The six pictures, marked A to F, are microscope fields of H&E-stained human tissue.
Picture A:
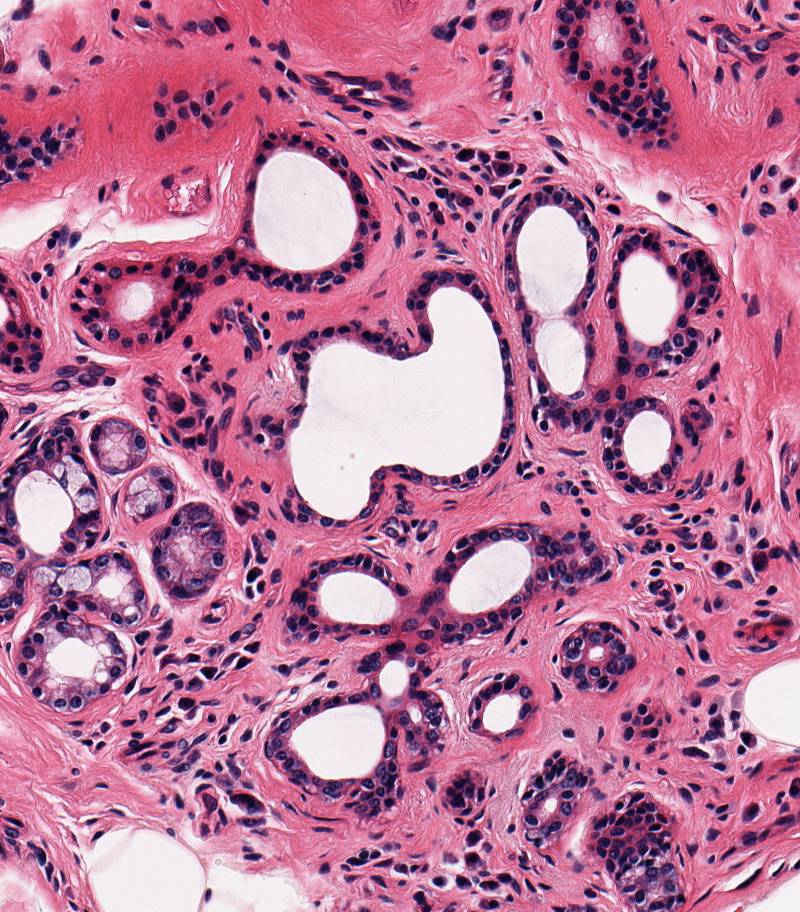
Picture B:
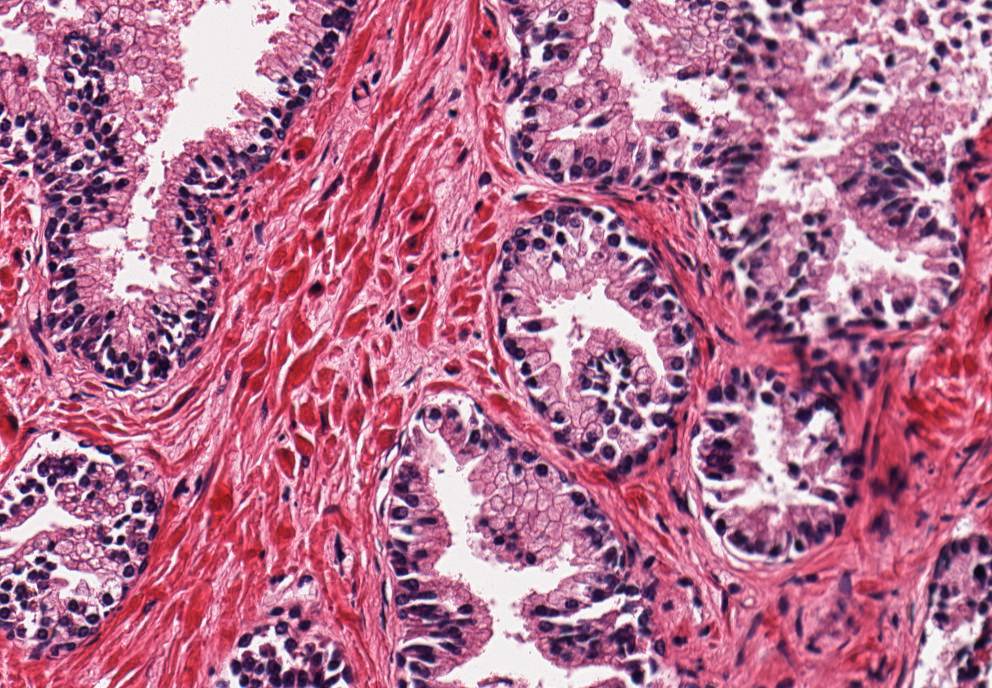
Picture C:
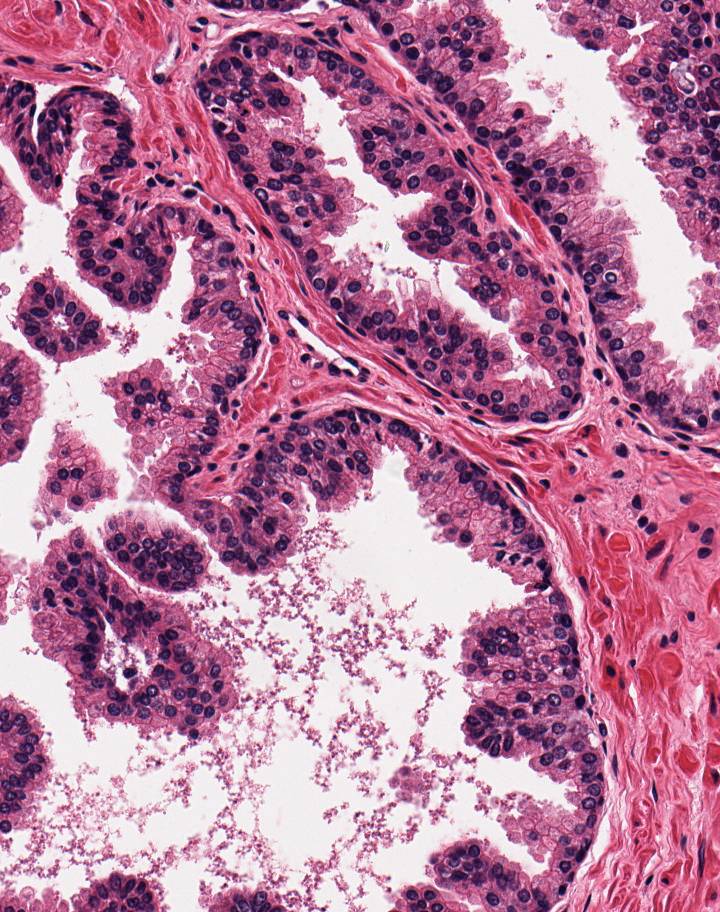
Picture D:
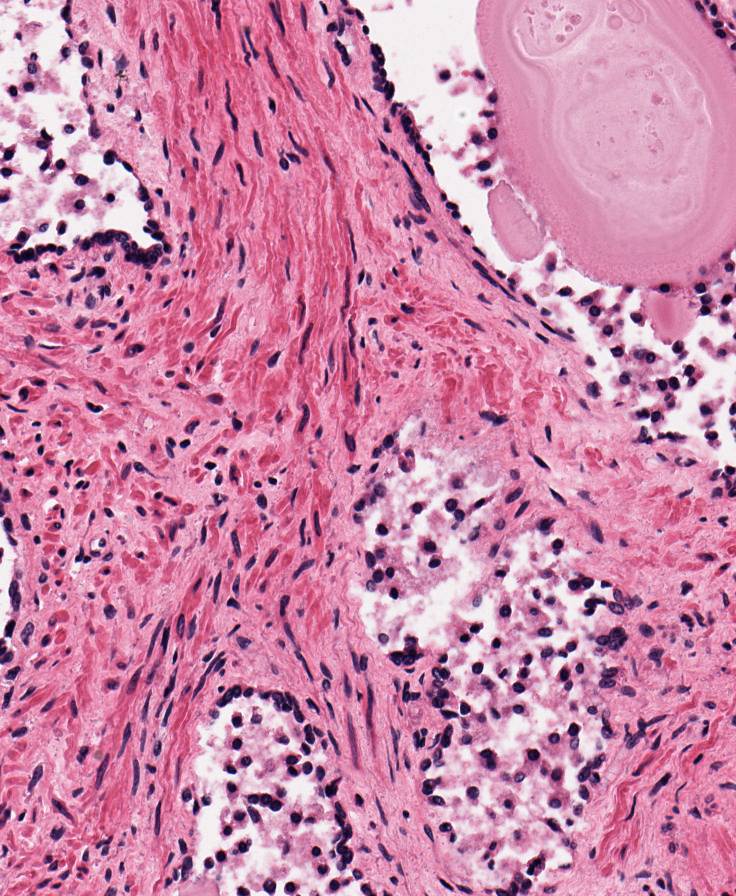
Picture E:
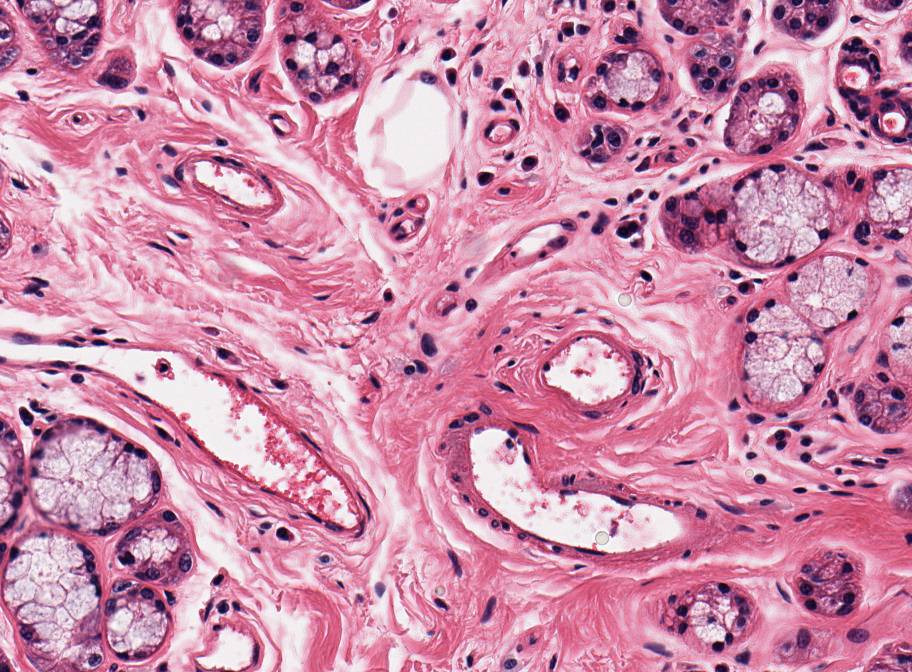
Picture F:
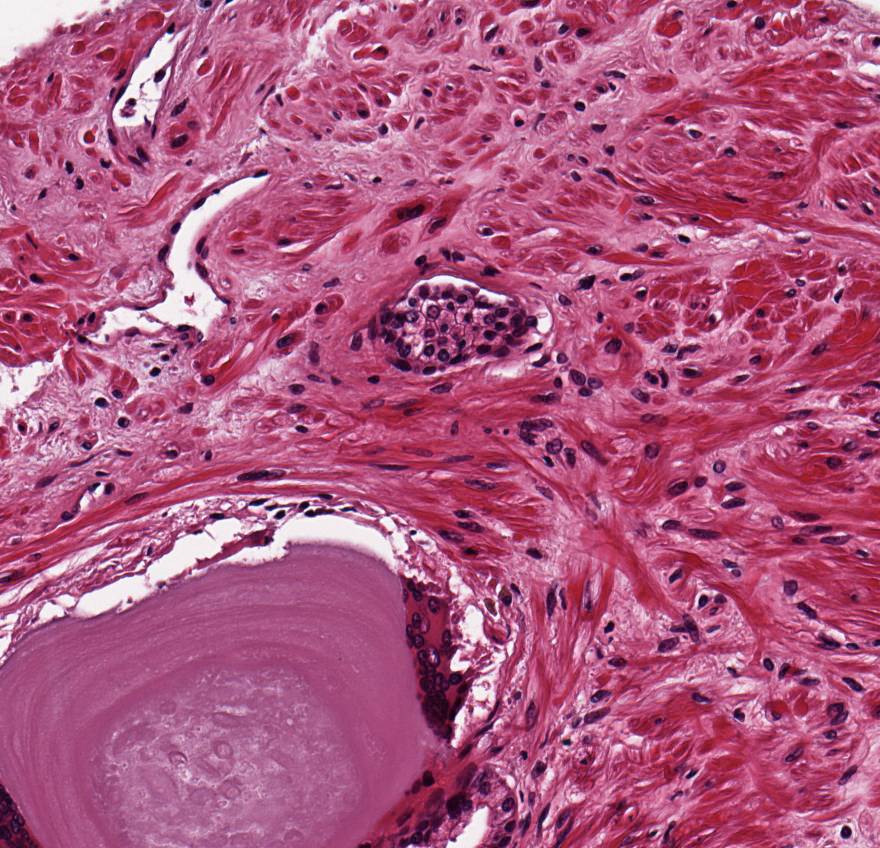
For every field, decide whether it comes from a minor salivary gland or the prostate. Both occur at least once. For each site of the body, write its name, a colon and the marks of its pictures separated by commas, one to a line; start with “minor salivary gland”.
minor salivary gland: A, E
prostate: B, C, D, F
